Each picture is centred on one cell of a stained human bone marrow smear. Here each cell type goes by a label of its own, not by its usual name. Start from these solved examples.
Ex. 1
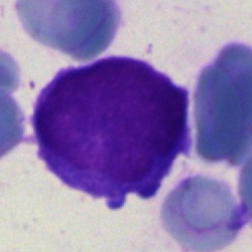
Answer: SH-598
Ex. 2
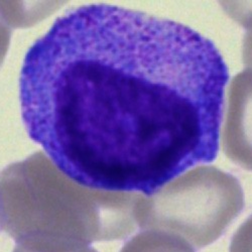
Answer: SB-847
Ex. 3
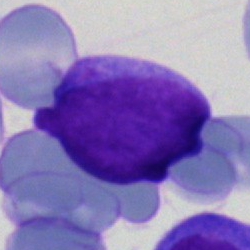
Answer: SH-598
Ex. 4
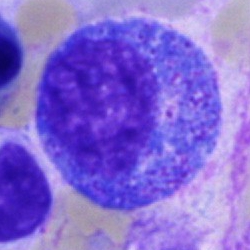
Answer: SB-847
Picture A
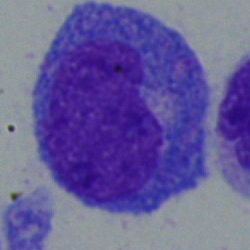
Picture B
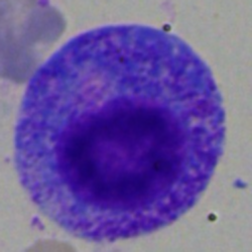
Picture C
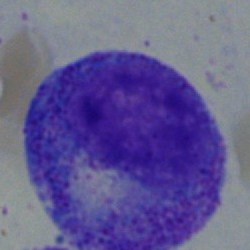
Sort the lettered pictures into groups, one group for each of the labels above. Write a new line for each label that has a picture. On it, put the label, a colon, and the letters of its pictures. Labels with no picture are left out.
SB-847: A, B, C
